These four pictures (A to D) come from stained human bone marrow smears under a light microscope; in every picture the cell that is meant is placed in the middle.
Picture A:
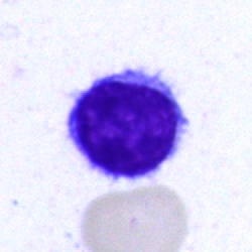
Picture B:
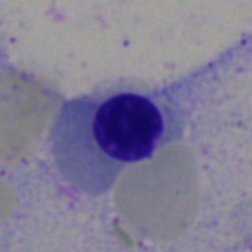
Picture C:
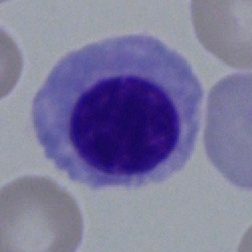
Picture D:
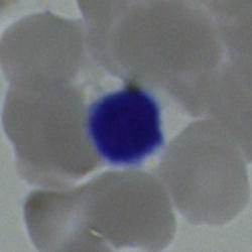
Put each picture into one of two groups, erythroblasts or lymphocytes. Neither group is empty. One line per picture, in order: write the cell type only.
lymphocyte
erythroblast
erythroblast
lymphocyte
